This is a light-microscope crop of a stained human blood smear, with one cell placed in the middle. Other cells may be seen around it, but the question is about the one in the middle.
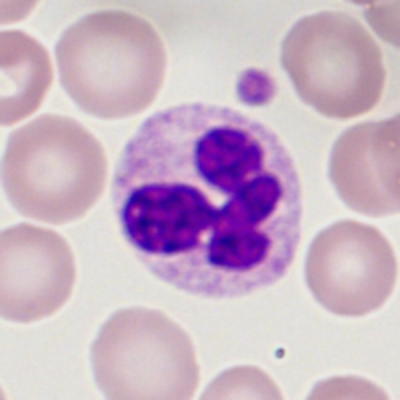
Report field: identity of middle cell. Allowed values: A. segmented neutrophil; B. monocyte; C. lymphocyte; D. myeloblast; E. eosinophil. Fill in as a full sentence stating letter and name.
Option A is correct, naming the cell in the middle as a segmented neutrophil.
